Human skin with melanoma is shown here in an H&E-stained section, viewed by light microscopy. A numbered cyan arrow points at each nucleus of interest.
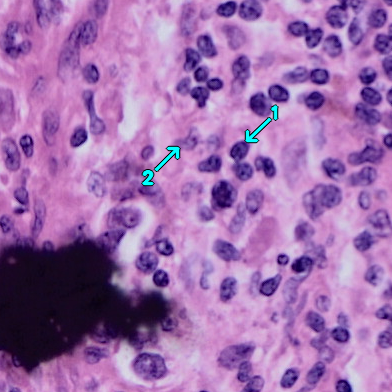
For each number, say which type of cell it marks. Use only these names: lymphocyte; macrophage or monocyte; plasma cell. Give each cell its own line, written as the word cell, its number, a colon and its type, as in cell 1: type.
cell 1: lymphocyte
cell 2: macrophage or monocyte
